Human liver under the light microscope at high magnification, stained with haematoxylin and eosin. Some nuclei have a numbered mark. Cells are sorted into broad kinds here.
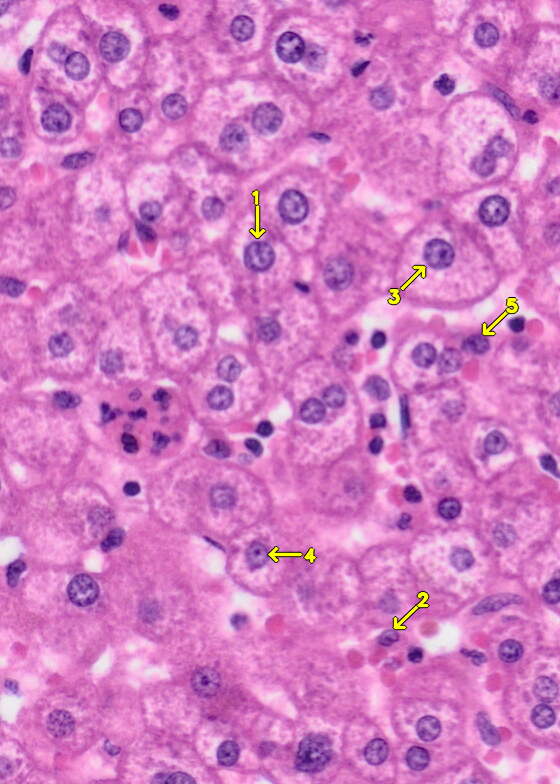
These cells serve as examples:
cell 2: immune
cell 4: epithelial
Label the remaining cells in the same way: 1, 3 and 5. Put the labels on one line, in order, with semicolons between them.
epithelial; epithelial; immune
